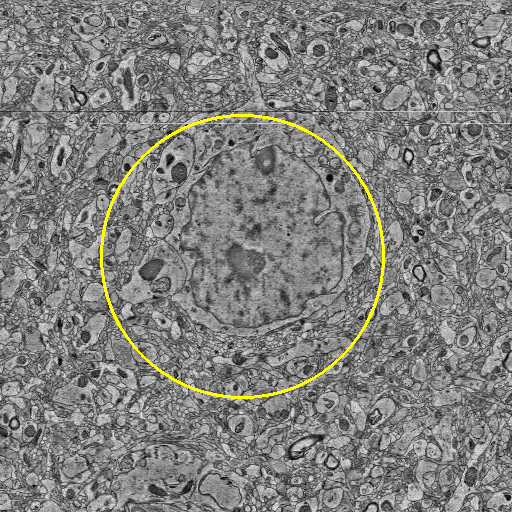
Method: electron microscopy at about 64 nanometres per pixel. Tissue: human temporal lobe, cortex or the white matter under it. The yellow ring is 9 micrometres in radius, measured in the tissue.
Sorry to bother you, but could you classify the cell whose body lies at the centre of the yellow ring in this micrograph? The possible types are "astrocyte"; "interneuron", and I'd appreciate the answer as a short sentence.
The ringed cell body is that of an interneuron.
